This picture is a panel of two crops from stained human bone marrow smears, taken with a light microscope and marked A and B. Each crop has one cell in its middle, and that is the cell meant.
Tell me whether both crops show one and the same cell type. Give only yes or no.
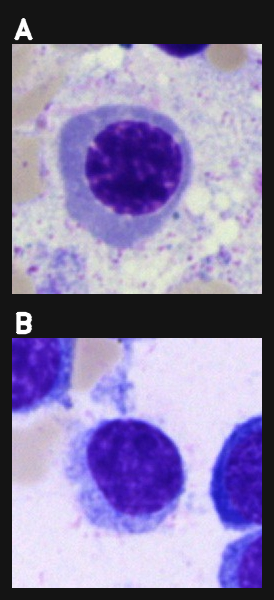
no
